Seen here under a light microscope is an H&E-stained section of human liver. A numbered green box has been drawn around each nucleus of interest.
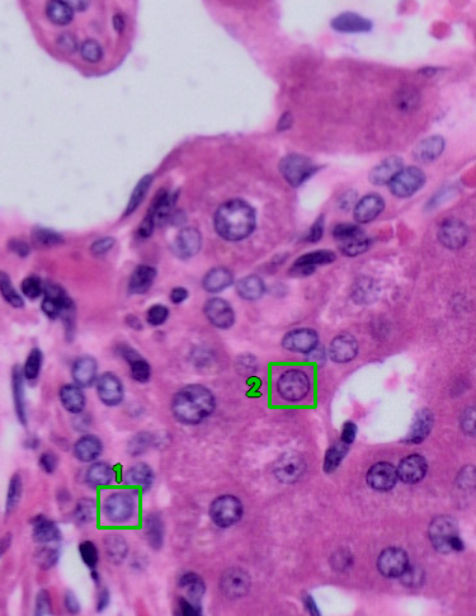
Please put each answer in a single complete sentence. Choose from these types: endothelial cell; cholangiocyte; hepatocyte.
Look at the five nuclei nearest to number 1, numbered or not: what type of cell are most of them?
Cholangiocytes account for more than half of the five nuclei nearest to number 1.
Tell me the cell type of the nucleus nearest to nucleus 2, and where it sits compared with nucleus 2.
Lying above and to the right of nucleus 2, the nearest nucleus is that of a cholangiocyte.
